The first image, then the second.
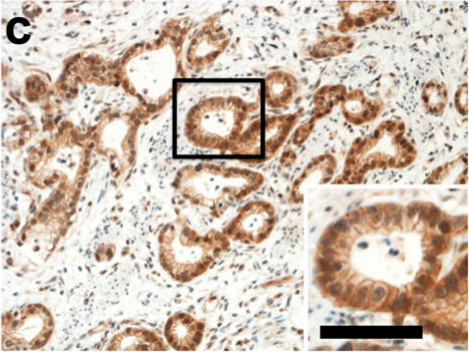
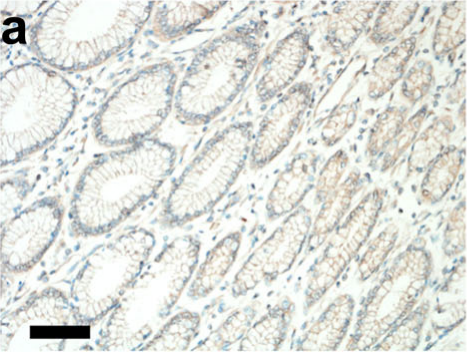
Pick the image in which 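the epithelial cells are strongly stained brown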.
the first image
